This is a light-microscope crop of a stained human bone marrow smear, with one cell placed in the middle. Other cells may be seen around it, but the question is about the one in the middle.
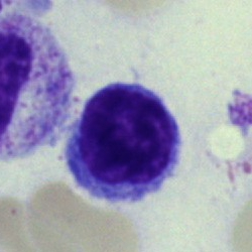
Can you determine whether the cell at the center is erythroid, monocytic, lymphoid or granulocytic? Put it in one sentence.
The lymphoid lineage is the lineage of the cell in the middle.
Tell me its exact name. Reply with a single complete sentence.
The cell centered in this field of view is a lymphocyte.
